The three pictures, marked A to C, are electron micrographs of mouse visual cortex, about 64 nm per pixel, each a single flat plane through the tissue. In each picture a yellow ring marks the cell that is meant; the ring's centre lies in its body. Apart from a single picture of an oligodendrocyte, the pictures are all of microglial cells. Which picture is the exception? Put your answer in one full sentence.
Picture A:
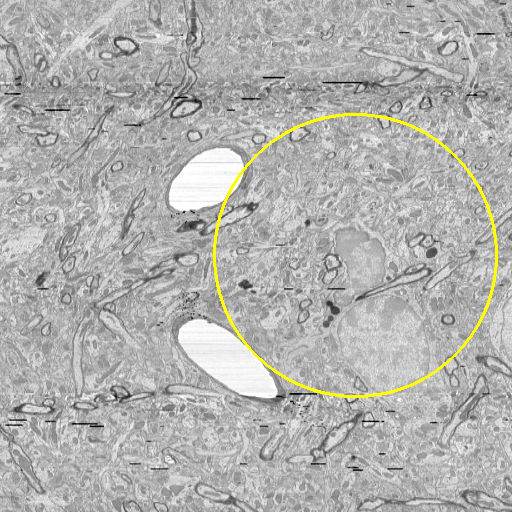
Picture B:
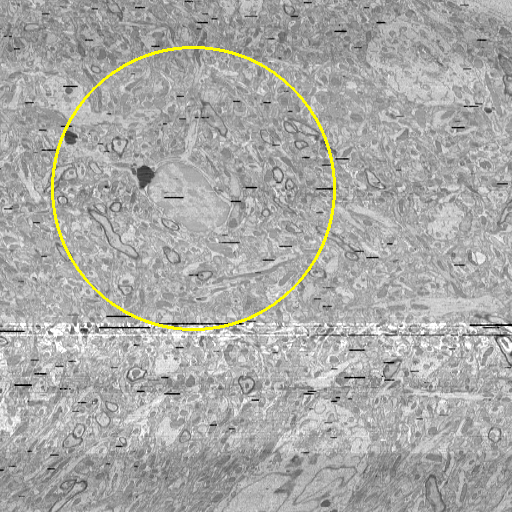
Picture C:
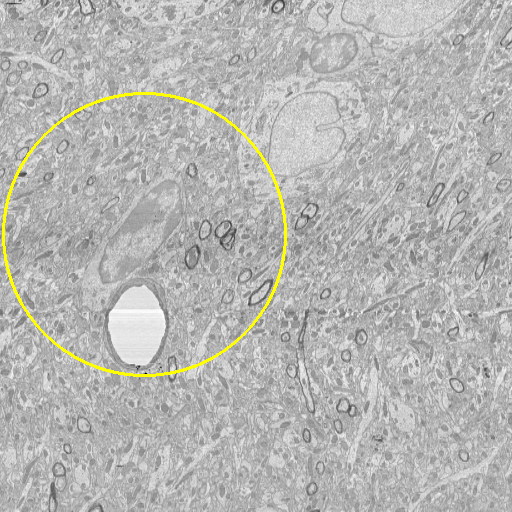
The oligodendrocyte is the one in picture C.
